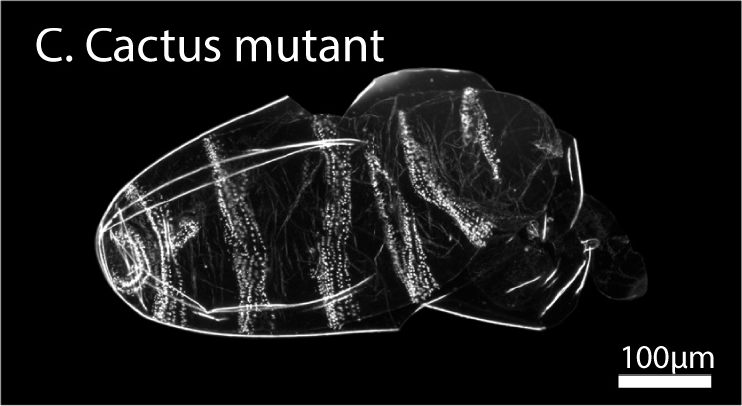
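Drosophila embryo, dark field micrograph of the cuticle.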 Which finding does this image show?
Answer: strongly ventralized phenotype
